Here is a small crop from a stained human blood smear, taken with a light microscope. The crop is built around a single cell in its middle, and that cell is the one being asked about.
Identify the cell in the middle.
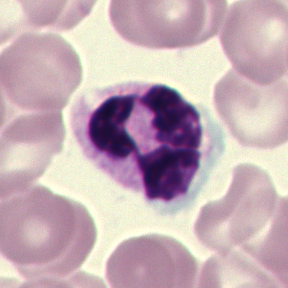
neutrophil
